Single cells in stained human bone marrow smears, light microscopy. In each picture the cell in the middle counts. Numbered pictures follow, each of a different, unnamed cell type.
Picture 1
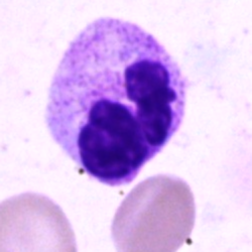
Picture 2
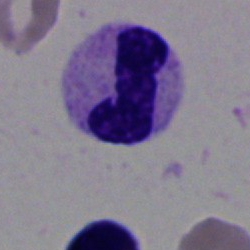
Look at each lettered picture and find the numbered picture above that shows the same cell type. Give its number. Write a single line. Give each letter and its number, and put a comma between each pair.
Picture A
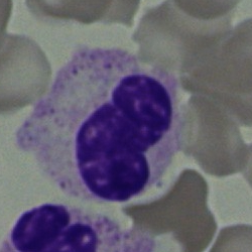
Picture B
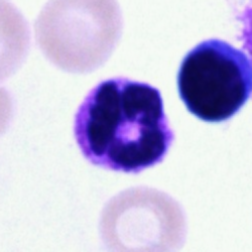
A 2, B 1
